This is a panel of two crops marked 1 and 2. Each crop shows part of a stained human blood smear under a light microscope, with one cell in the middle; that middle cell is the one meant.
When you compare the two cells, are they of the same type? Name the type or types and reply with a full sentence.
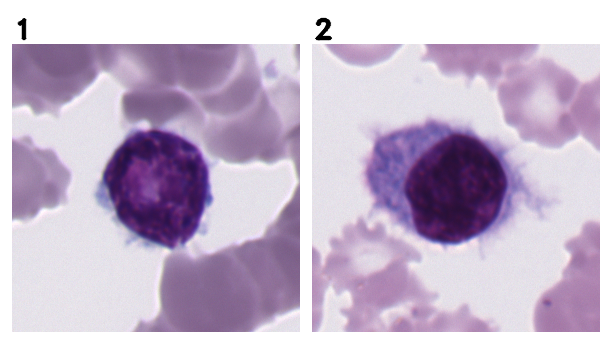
Yes, it is hairy cells that occupy the middle of both crops.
